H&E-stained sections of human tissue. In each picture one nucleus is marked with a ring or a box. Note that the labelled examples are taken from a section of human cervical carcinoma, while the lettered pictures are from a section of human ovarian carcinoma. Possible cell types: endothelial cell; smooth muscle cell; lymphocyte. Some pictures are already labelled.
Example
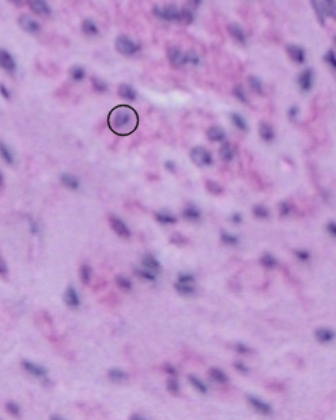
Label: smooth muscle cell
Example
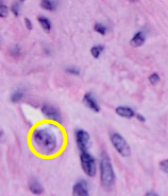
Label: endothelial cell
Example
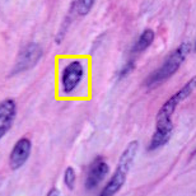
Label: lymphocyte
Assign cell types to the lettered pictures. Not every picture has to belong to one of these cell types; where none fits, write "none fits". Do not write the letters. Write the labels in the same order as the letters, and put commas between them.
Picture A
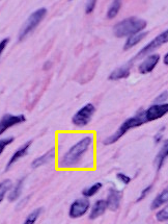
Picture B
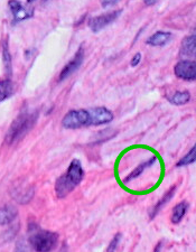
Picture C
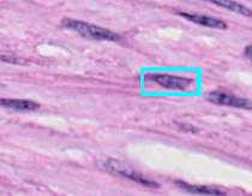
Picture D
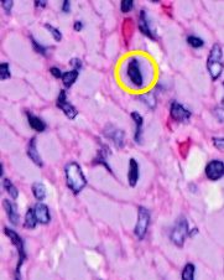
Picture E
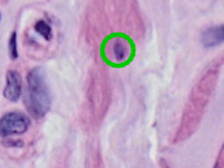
smooth muscle cell, none fits, none fits, lymphocyte, smooth muscle cell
